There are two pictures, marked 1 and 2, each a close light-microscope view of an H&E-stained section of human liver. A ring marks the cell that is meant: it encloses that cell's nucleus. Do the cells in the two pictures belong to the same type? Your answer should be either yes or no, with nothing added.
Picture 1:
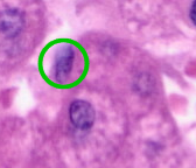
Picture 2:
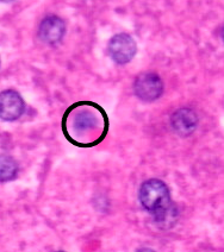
no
